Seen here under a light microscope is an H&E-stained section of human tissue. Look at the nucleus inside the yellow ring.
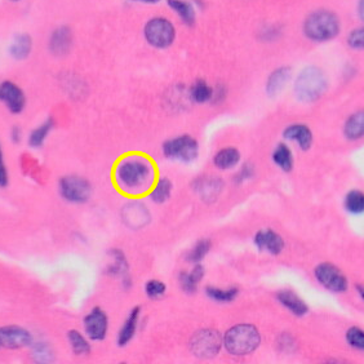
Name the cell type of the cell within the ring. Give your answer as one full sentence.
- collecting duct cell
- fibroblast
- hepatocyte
Recorded by type, the cell within the ring is a collecting duct cell.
